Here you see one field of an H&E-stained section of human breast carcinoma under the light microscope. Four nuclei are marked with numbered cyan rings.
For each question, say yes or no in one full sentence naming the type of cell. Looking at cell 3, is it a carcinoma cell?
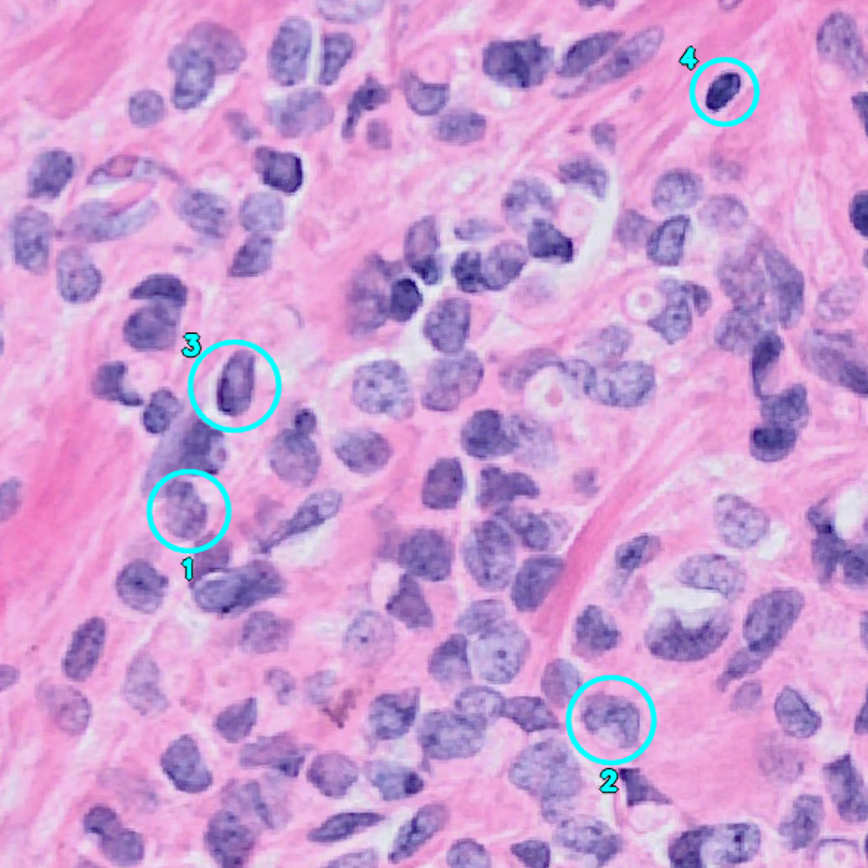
Yes, the cell that is numbered 3 is a carcinoma cell.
